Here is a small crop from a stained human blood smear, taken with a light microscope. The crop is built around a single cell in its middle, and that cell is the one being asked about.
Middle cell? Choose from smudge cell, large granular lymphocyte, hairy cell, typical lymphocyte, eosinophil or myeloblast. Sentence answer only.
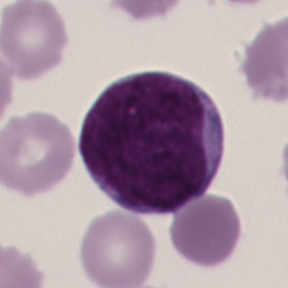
The crop's centre is taken up by a myeloblast.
